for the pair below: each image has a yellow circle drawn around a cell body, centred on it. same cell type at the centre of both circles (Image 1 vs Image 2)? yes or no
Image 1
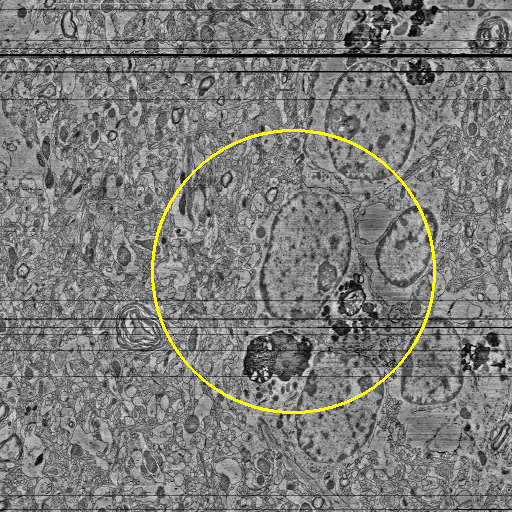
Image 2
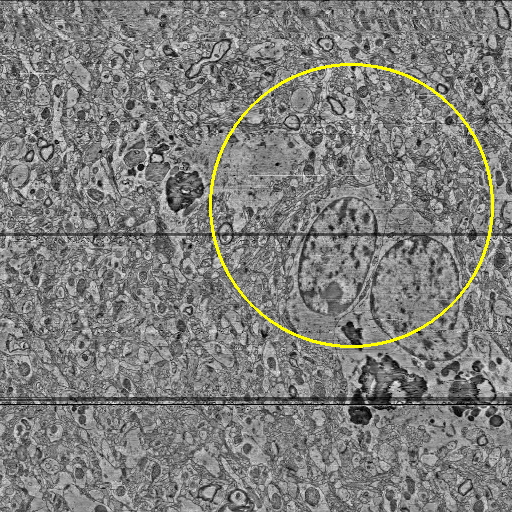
yes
